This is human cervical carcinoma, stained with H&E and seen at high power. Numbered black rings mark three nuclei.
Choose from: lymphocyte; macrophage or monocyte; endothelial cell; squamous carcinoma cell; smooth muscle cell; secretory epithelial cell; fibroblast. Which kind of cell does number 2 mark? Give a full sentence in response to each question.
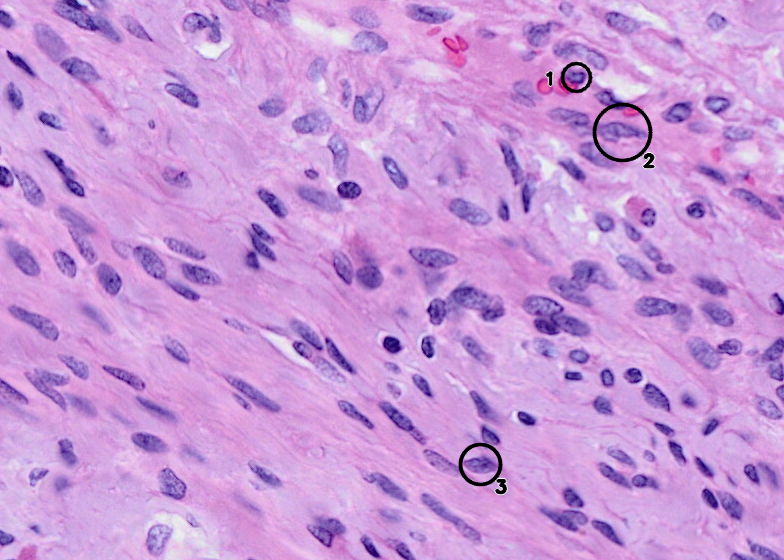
Looking at the numbered marks, cell 2 is an endothelial cell.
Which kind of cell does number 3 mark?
In the tissue shown, cell 3 is a fibroblast.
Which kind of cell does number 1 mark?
The cell numbered 1 represents an endothelial cell.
